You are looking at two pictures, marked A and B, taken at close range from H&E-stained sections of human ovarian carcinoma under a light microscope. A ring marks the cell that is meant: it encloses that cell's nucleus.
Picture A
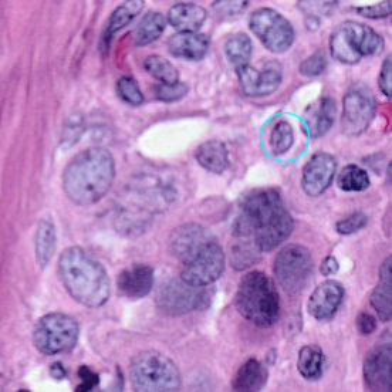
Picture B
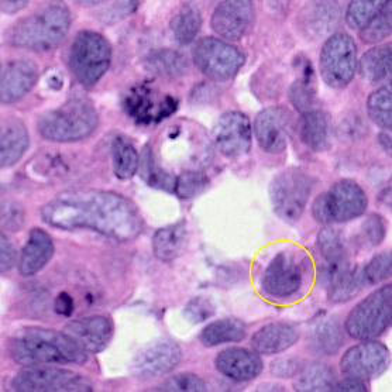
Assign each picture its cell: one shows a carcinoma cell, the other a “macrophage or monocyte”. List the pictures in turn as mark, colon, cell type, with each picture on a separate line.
A: macrophage or monocyte
B: carcinoma cell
